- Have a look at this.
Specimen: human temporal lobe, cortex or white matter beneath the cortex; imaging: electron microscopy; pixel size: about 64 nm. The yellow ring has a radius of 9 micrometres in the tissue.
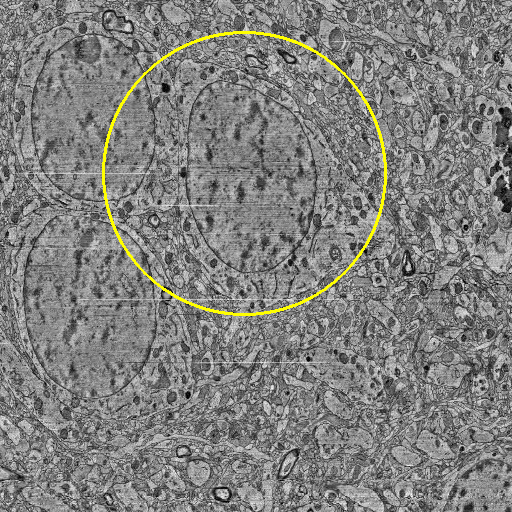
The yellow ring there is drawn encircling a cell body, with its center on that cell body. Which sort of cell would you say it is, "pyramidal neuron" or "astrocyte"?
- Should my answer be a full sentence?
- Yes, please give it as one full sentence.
For this picture, a pyramidal neuron is the cell where the yellow ring has its center.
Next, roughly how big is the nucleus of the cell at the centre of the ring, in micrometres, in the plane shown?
In this plane the nucleus is clearly longer than it is wide: roughly 13 by 9 micrometres.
